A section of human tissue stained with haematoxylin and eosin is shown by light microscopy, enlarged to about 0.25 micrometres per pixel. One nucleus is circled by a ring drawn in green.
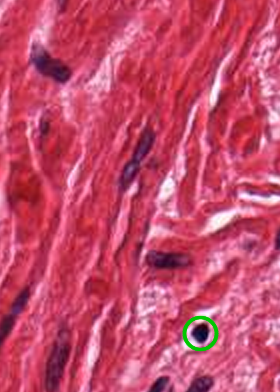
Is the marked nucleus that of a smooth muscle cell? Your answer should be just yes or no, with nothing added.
no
